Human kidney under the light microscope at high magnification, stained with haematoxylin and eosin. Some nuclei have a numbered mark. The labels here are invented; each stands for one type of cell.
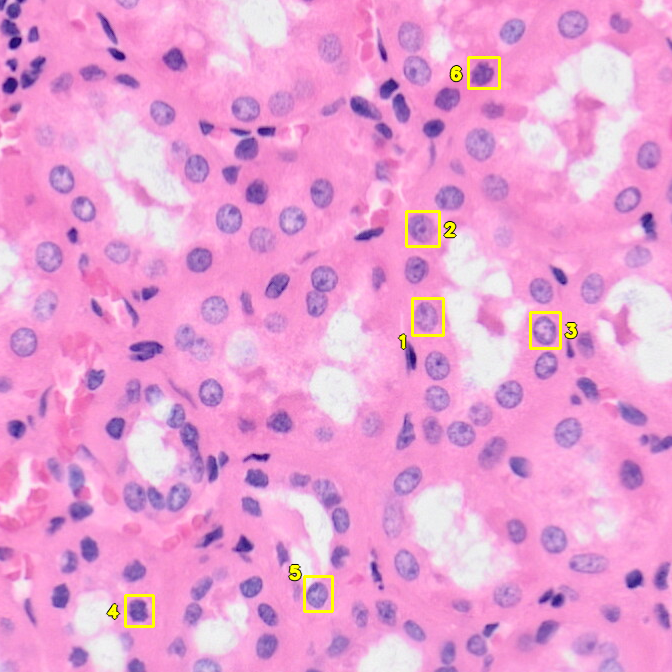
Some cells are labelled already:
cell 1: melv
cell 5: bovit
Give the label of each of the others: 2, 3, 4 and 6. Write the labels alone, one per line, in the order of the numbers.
melv
melv
bovit
melv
